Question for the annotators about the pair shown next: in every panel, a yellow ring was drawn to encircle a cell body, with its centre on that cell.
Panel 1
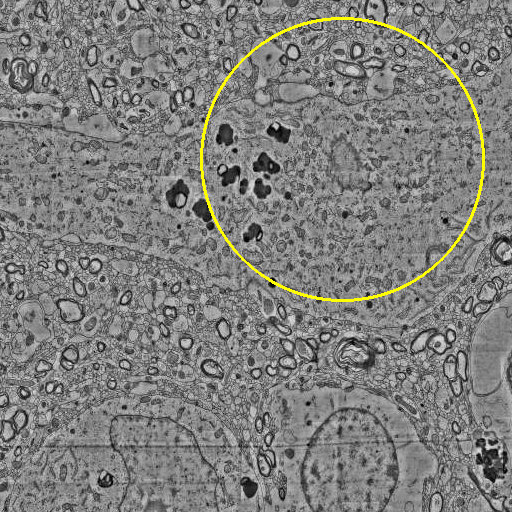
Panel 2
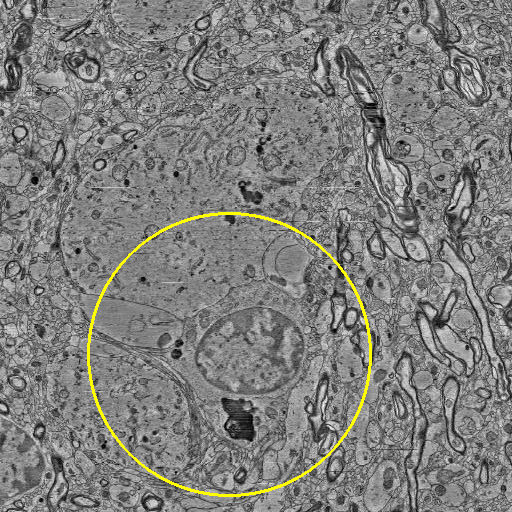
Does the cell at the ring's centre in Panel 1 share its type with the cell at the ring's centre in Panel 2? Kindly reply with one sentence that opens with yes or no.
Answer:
Yes, in Panels 1 and 2 the cells at the ring centres belong to a single type.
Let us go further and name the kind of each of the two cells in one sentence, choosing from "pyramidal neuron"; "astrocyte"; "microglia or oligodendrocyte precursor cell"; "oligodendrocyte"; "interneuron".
The cell at the ring centre is an oligodendrocyte in both pictures.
